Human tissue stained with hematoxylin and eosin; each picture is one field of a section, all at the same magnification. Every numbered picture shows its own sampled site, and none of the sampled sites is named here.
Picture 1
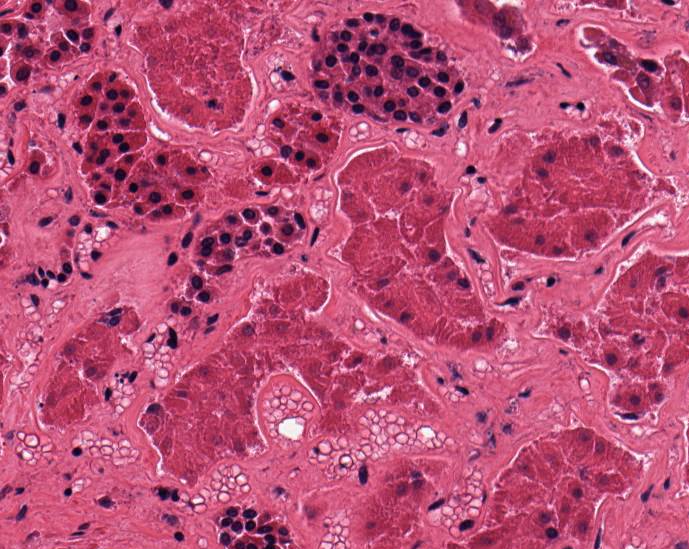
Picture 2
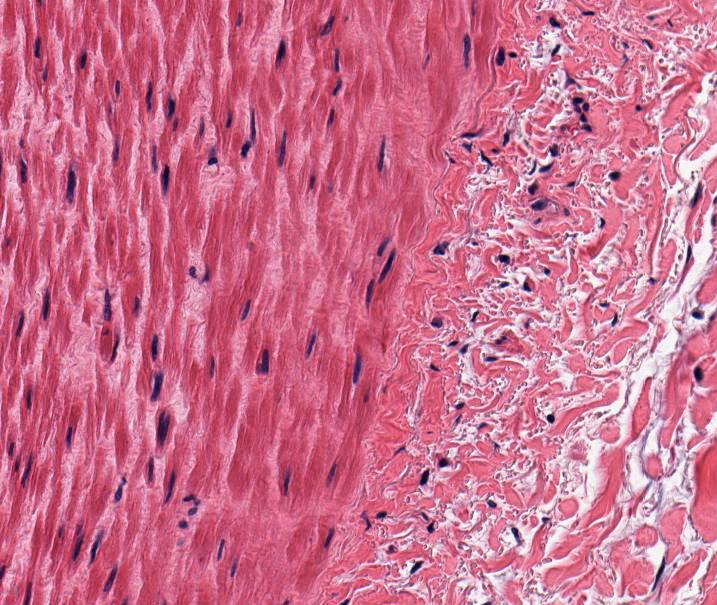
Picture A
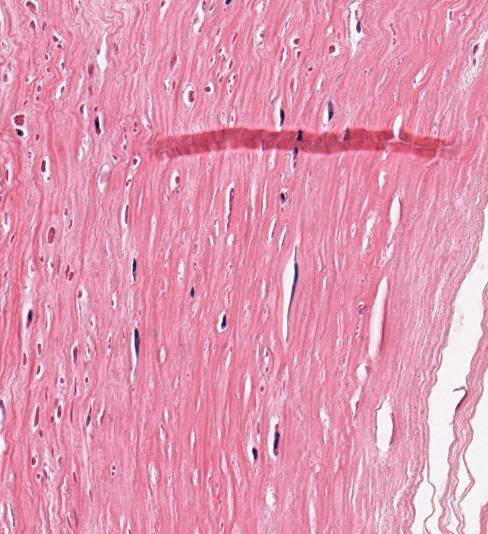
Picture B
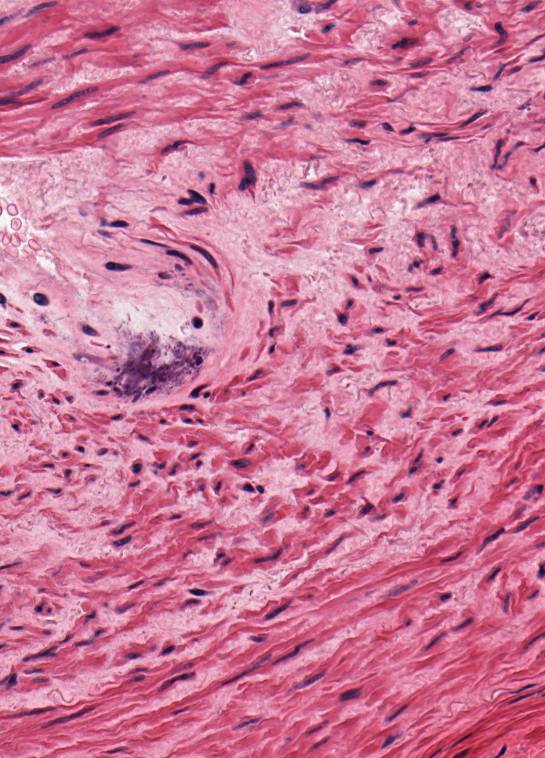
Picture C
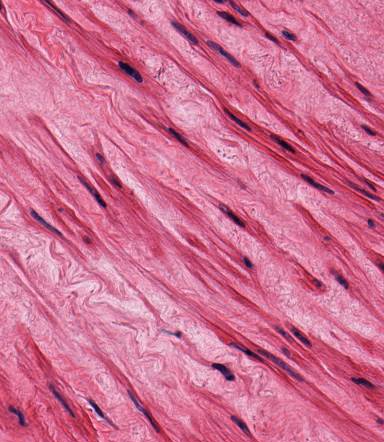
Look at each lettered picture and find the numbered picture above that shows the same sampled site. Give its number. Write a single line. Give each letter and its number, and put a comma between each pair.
A 2, B 2, C 2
